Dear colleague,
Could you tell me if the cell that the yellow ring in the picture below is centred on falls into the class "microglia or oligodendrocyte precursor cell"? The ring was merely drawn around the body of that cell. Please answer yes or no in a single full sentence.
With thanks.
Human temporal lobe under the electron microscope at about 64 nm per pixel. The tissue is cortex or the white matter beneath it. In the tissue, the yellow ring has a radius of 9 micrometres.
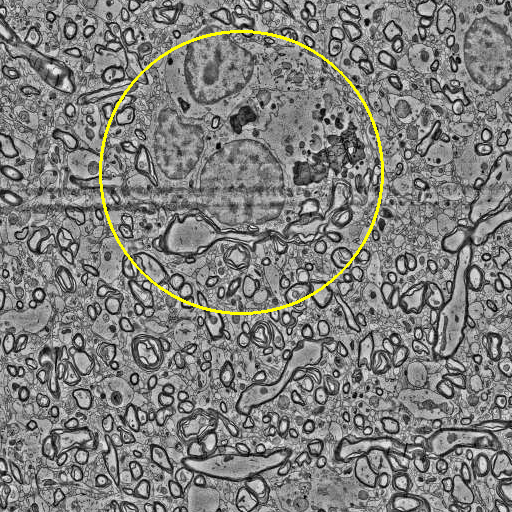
No, the cell on which the ring in your picture is centred falls into a different class.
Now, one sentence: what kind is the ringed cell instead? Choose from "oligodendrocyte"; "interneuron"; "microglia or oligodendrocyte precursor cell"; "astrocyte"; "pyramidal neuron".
The correct answer is that the cell is an oligodendrocyte.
